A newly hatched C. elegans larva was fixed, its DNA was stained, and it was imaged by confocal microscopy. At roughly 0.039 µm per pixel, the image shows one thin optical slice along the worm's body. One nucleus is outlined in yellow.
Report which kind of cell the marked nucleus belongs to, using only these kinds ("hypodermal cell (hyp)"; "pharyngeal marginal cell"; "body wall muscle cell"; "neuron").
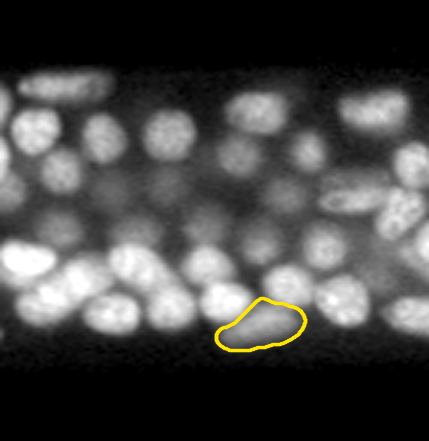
body wall muscle cell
